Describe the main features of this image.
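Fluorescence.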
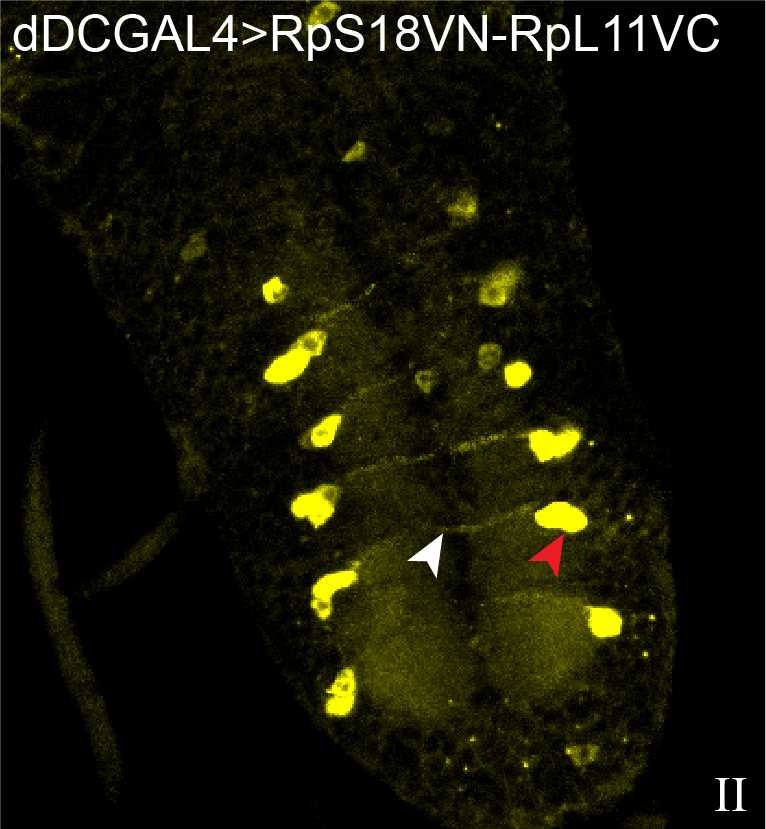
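This is the ventral nerve cord with a sparse, segmentally repeated set of labelled neurons. Faint thin axons run from them across the tissue, much dimmer than the cell bodies. The surrounding neuropil and tissue are only weakly fluorescent.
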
